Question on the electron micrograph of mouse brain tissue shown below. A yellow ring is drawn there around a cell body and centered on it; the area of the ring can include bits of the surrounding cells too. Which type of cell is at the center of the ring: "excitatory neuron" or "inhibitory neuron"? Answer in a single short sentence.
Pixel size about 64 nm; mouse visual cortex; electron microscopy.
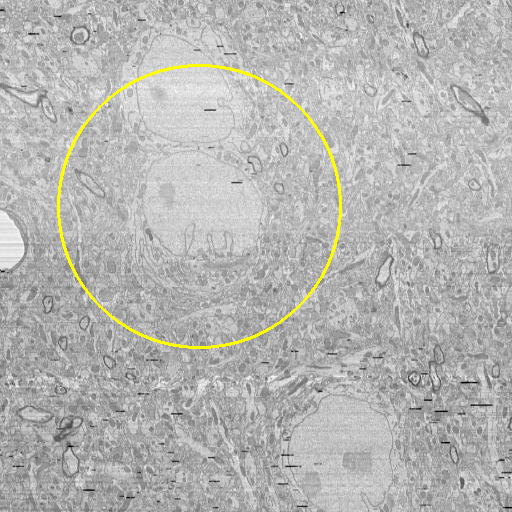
The ring is centered on an inhibitory neuron.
